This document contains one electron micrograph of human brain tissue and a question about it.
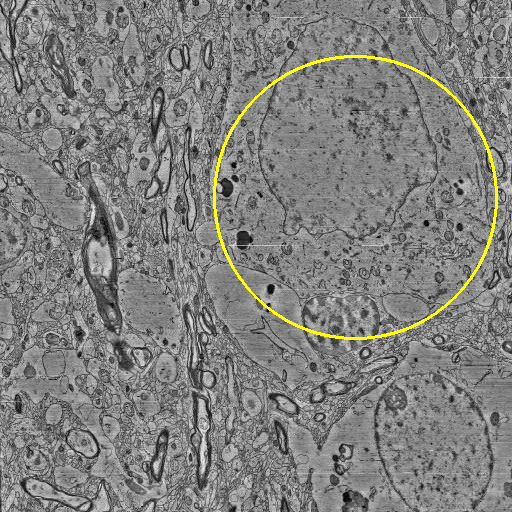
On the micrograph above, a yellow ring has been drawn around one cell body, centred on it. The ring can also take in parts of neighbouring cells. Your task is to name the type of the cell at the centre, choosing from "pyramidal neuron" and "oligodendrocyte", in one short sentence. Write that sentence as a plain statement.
Here the ring is centred on a pyramidal neuron.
